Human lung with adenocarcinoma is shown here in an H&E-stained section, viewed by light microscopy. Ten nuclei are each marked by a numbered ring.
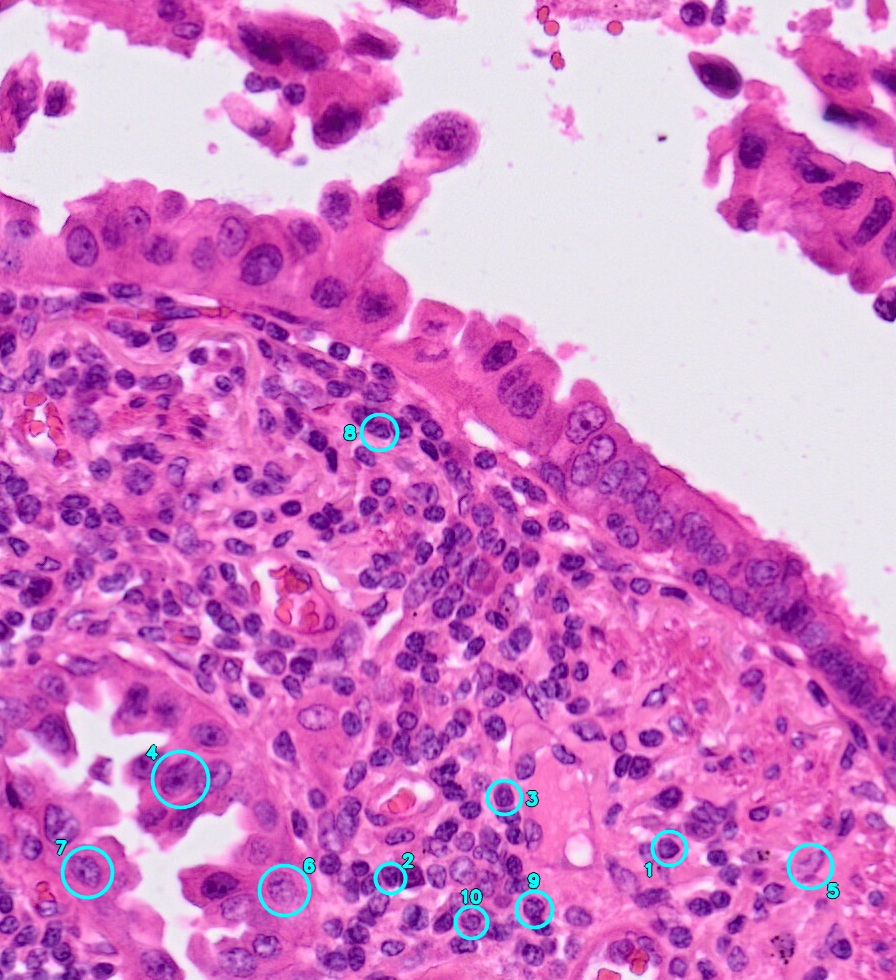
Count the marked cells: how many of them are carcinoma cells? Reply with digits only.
3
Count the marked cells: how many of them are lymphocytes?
6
